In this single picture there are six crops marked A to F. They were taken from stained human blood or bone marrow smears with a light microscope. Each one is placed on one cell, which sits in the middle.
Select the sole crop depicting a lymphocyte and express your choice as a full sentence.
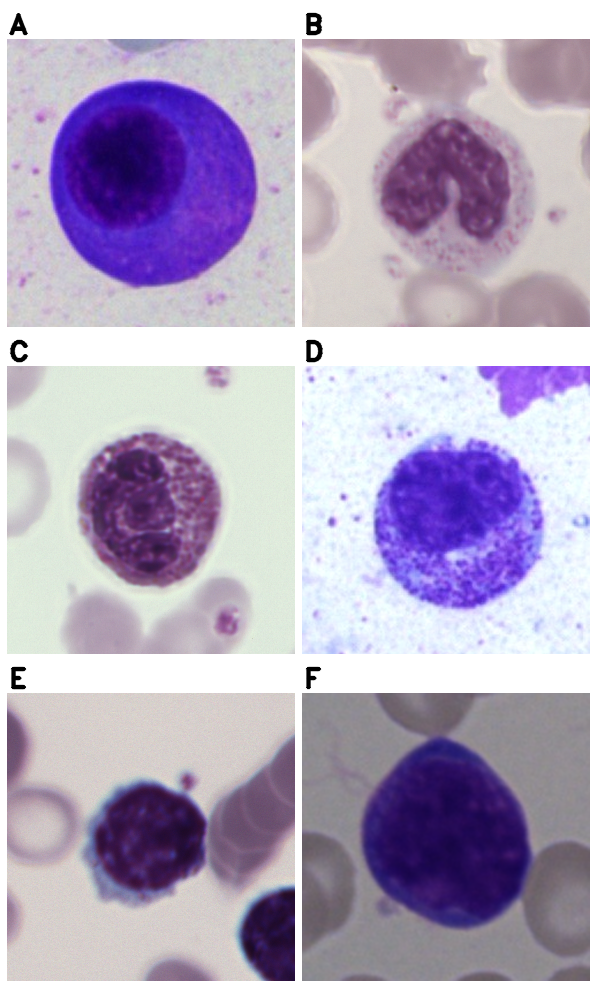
That would be crop E; it shows a lymphocyte.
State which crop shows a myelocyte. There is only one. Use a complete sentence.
Of the cells presented, the one in crop D is a myelocyte.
